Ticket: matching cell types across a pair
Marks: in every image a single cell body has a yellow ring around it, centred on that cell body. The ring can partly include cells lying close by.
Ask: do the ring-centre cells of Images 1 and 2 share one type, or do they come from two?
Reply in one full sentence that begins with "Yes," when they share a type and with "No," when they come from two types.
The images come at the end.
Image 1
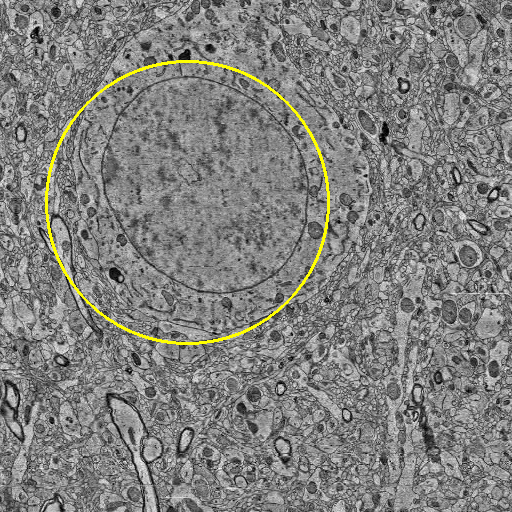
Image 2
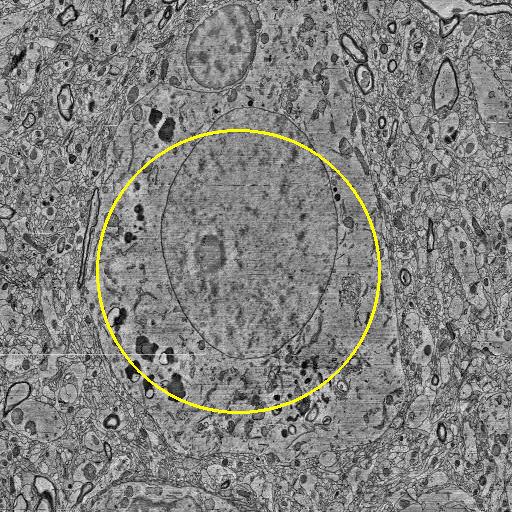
Yes, the cells in the centres of the rings in Image 1 and Image 2 share one type.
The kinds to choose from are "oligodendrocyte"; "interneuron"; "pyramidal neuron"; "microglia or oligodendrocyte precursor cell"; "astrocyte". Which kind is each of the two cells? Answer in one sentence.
Each of the ringed cells, first and second, is a pyramidal neuron.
